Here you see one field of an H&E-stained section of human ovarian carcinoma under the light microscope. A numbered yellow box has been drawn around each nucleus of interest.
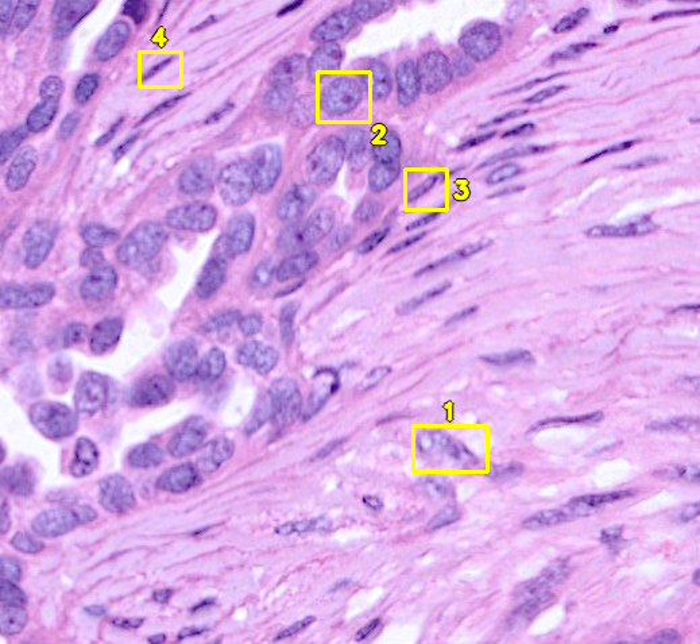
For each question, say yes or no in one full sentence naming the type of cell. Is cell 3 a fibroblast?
Yes, of the numbered cells, number 3 is a fibroblast.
